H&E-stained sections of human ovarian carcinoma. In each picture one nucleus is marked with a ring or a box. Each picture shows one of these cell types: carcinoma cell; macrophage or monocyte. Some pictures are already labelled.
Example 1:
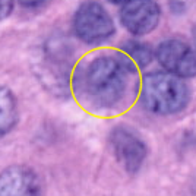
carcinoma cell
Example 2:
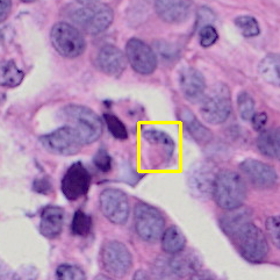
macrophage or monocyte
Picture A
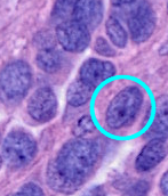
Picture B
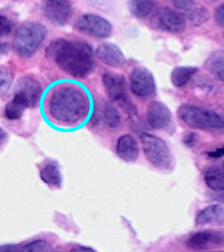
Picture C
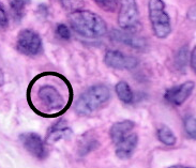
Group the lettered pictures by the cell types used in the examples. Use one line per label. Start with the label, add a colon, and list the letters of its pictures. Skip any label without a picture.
carcinoma cell: A, B
macrophage or monocyte: C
